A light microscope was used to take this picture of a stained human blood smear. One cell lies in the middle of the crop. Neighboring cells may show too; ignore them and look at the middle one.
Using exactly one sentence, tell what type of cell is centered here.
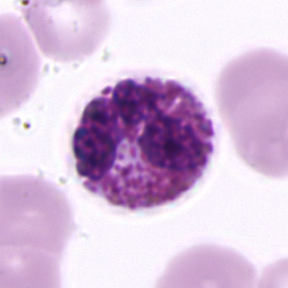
The middle cell in this particular crop is an eosinophil.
